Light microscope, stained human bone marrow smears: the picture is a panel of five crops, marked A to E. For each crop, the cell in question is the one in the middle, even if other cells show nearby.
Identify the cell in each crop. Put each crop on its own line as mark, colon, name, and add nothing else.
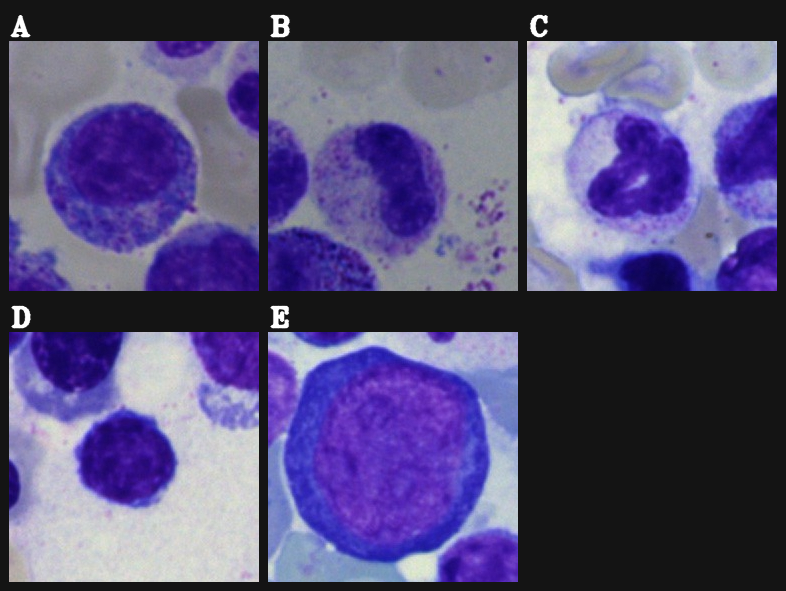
A: promyelocyte
B: band neutrophil
C: band neutrophil
D: lymphocyte
E: proerythroblast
